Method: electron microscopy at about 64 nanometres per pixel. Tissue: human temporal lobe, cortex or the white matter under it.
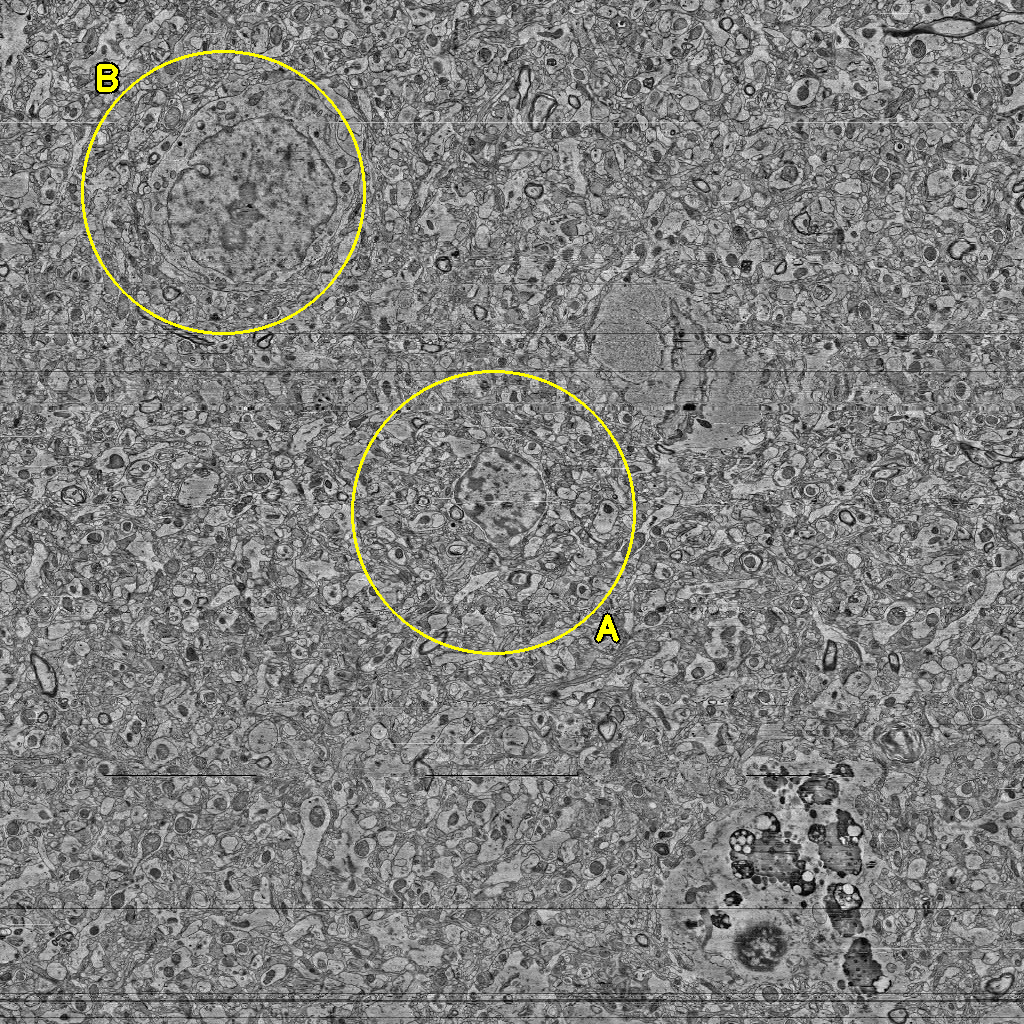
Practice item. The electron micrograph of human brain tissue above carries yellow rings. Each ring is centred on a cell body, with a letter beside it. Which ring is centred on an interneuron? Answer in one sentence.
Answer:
Ring B is centred on it.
